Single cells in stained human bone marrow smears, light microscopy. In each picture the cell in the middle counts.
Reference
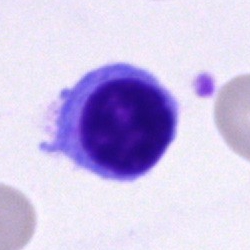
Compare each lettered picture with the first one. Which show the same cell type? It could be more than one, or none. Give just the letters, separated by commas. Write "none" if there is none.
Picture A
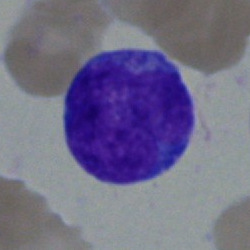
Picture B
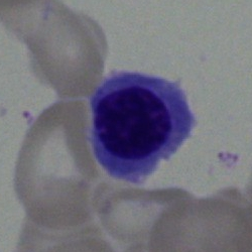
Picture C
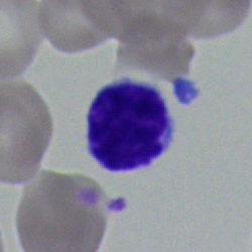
C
